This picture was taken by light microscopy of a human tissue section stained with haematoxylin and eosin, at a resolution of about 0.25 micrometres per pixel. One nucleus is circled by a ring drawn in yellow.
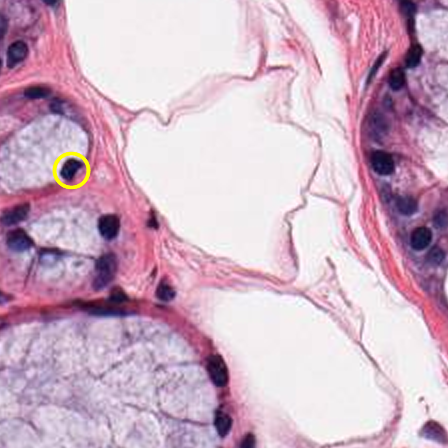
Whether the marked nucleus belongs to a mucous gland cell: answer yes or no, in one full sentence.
Yes, the owner of the marked nucleus is a mucous gland cell.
